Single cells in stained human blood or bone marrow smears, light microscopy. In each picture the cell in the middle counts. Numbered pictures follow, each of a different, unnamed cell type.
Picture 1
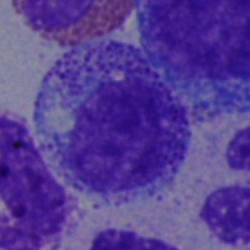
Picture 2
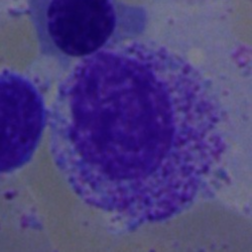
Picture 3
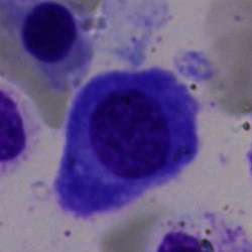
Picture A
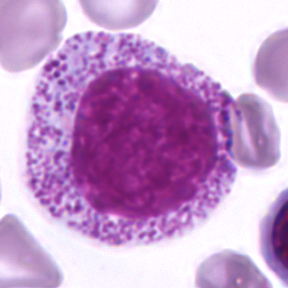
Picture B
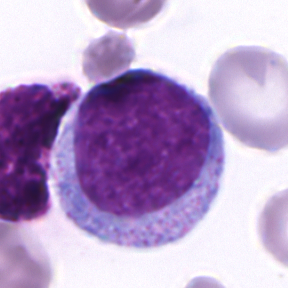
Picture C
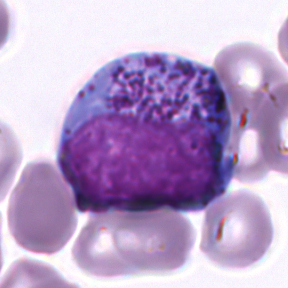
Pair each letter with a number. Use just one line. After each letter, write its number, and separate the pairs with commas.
A 2, B 1, C 1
